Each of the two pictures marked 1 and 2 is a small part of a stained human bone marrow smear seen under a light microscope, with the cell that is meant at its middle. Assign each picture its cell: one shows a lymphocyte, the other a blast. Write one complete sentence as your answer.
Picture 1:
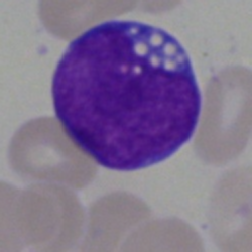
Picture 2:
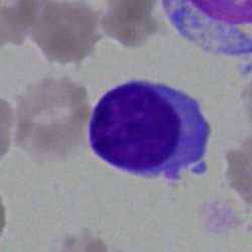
Picture 1 shows a blast and picture 2 shows a lymphocyte.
